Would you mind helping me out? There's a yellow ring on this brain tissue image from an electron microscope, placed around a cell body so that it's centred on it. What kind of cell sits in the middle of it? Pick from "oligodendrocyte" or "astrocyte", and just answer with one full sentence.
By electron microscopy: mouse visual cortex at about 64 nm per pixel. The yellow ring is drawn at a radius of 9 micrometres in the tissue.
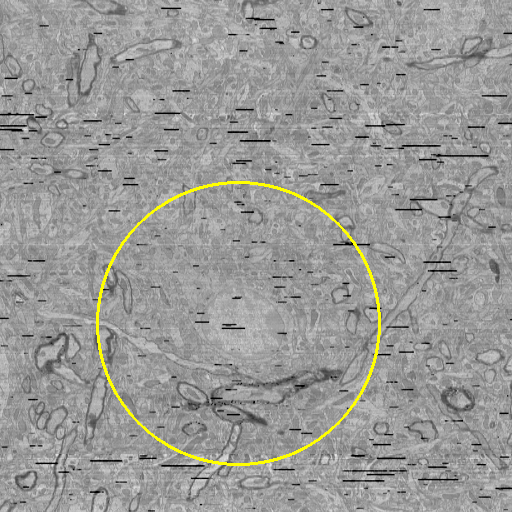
What sits in the middle of that yellow ring is an oligodendrocyte, from your choices.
